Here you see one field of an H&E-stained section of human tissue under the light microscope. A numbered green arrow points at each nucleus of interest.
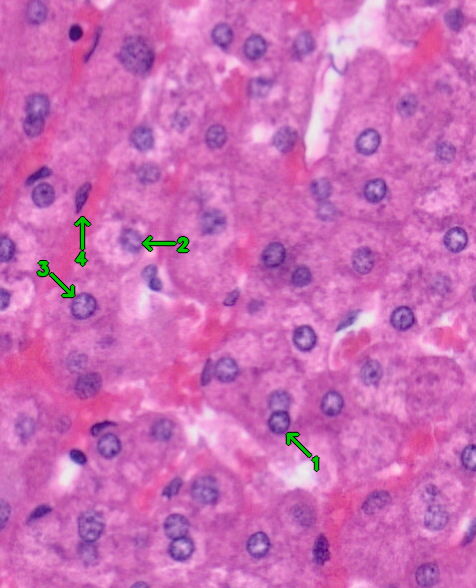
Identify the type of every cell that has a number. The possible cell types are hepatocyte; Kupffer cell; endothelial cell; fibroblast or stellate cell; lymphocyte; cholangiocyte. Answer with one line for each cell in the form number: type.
1: hepatocyte
2: hepatocyte
3: hepatocyte
4: endothelial cell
